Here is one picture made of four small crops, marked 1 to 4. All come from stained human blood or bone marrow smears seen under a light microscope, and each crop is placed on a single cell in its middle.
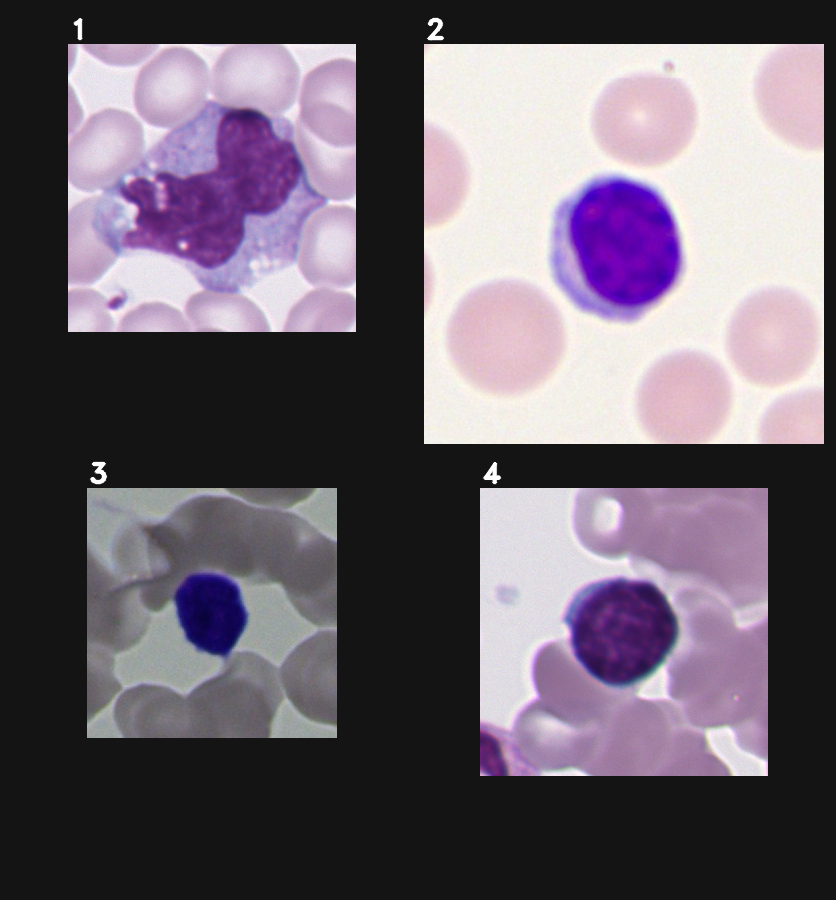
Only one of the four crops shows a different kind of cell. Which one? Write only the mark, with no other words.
1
